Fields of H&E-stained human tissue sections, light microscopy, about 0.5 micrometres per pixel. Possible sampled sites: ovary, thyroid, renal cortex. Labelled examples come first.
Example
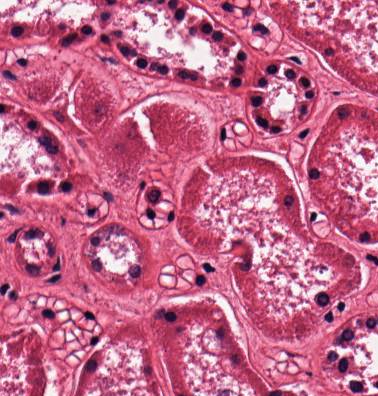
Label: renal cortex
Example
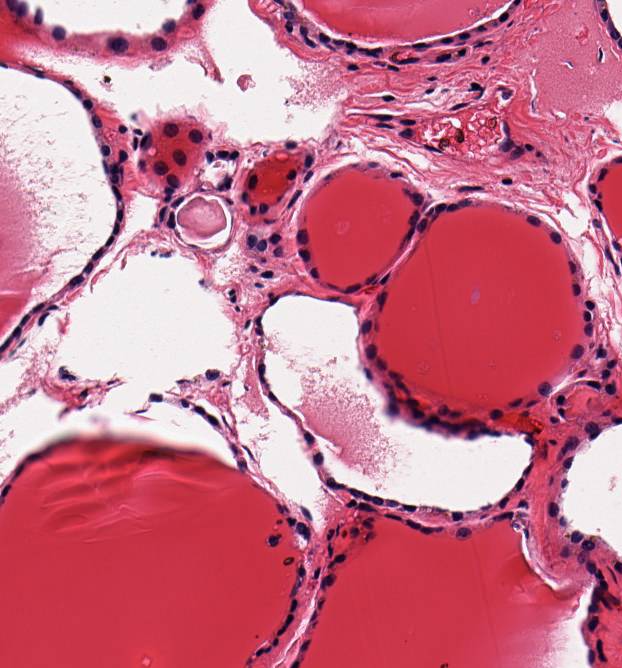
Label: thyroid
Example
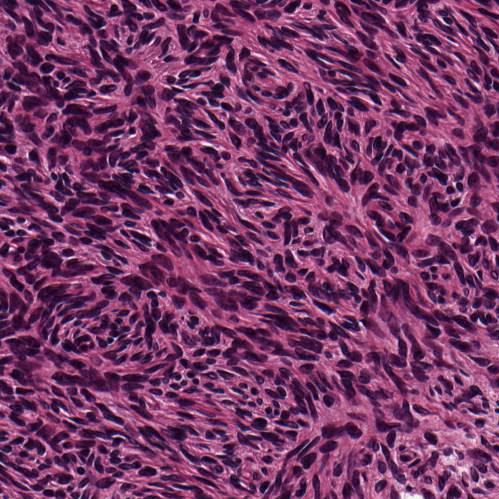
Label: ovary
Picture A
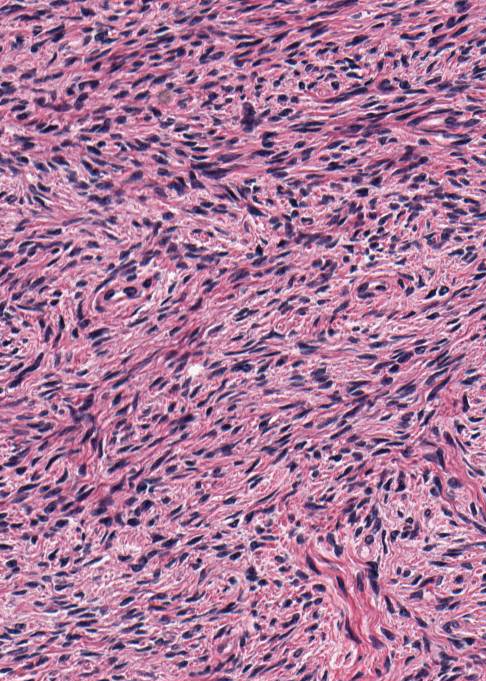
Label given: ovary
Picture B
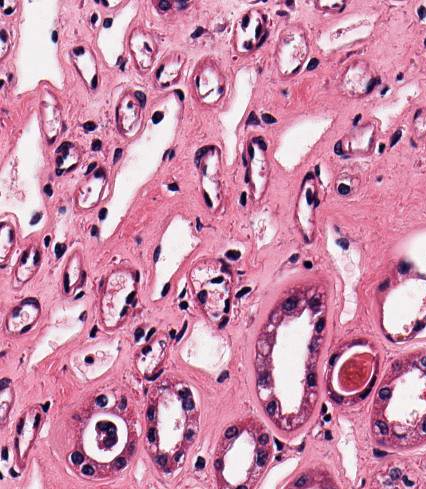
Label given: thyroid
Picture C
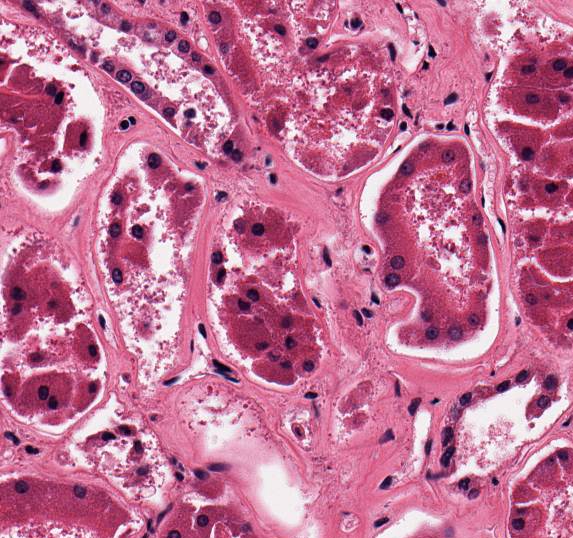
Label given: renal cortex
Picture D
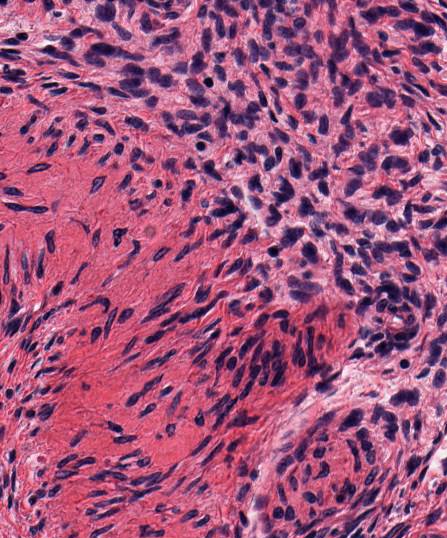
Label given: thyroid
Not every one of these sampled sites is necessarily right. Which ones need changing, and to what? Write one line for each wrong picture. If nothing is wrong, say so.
Wrong: B (thyroid); correct: renal cortex
Wrong: D (thyroid); correct: ovary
